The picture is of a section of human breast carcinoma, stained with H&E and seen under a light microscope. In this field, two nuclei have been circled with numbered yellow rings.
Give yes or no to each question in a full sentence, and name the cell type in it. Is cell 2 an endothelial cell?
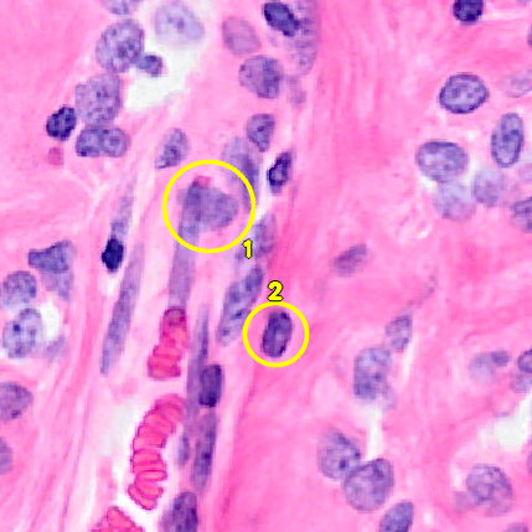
No, cell 2 is not an endothelial cell, but is instead a lymphocyte.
